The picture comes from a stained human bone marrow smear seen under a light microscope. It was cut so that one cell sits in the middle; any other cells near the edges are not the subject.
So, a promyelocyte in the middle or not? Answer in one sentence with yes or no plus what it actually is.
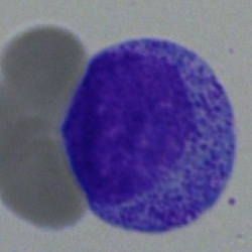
Yes, the cell that is in the middle is a promyelocyte.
